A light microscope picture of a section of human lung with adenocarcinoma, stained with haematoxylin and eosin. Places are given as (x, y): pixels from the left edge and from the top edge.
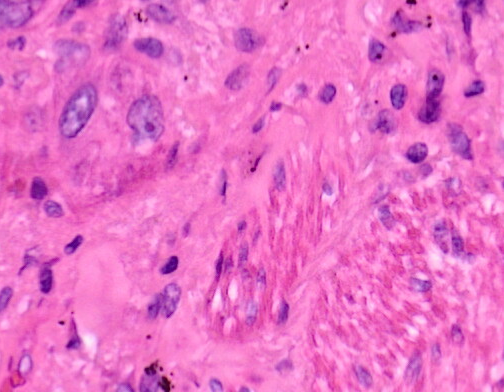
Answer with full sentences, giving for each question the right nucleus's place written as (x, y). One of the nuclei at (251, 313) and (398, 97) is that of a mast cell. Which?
That would be the nucleus at (398, 97); it belongs to a mast cell.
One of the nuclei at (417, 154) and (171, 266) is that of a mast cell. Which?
Identify the nucleus at (171, 266) as the one belonging to a mast cell.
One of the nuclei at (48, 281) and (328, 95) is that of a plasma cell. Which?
So, of the two, the nucleus at (48, 281) is the one belonging to a plasma cell.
